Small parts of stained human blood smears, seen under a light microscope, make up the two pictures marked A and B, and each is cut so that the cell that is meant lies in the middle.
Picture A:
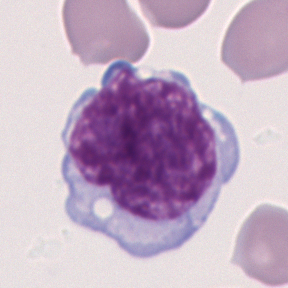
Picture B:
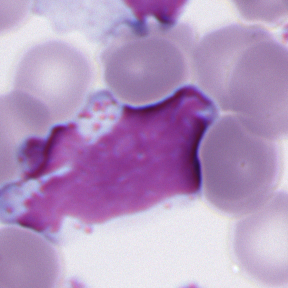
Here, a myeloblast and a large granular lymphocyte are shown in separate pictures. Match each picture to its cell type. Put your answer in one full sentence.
Picture A is of a myeloblast, and picture B is of a large granular lymphocyte.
